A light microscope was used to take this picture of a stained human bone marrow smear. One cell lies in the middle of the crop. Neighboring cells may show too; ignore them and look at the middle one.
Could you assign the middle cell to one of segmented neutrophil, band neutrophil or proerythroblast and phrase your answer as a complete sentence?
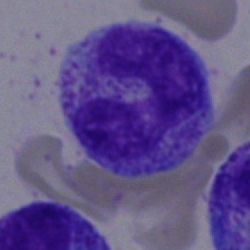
At the center of the crop sits a band neutrophil.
